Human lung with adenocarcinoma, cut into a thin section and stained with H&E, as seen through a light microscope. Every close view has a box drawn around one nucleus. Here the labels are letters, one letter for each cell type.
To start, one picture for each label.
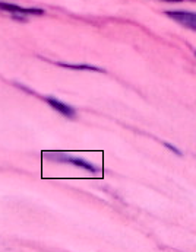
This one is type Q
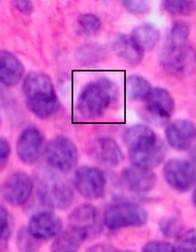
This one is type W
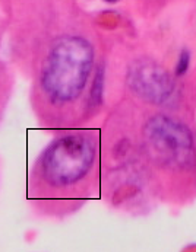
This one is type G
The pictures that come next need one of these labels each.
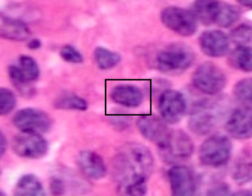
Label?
type W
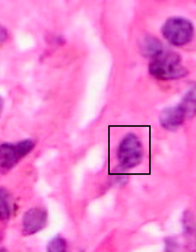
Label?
type W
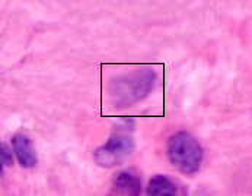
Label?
type Q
